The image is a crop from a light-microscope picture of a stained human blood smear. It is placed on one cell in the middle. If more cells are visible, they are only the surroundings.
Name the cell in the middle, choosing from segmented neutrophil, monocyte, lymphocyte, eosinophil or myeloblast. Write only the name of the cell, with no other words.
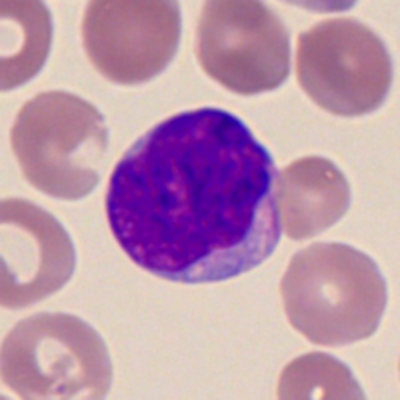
myeloblast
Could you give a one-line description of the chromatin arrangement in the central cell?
Here the nuclear chromatin is coarsely clumped.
